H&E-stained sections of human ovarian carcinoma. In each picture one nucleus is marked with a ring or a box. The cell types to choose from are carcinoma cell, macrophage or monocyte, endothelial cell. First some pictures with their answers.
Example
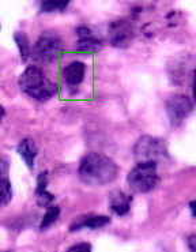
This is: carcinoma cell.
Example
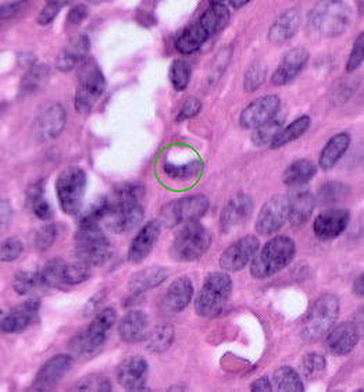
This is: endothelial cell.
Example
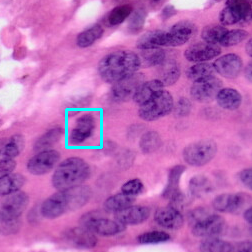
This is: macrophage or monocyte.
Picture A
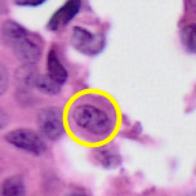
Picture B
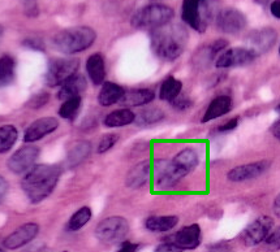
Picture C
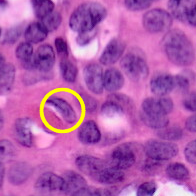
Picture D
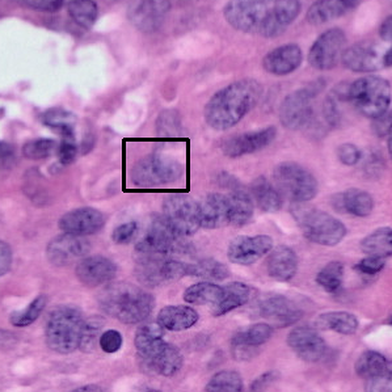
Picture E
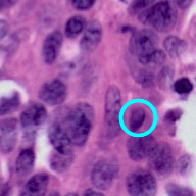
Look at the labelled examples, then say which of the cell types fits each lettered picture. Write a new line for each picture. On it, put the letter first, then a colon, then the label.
A: macrophage or monocyte.
B: endothelial cell.
C: endothelial cell.
D: endothelial cell.
E: carcinoma cell.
